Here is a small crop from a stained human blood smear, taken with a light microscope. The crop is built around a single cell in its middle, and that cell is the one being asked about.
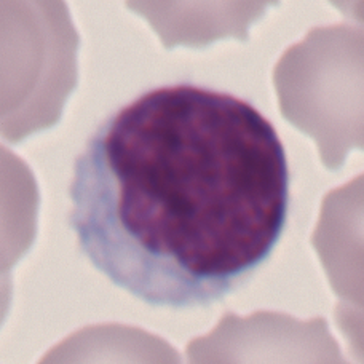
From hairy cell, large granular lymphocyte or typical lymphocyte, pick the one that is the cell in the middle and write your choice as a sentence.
Whatever else lies nearby, the middle cell is a hairy cell.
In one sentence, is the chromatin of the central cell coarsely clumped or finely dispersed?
Its nuclear chromatin is gathered into coarse clumps.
